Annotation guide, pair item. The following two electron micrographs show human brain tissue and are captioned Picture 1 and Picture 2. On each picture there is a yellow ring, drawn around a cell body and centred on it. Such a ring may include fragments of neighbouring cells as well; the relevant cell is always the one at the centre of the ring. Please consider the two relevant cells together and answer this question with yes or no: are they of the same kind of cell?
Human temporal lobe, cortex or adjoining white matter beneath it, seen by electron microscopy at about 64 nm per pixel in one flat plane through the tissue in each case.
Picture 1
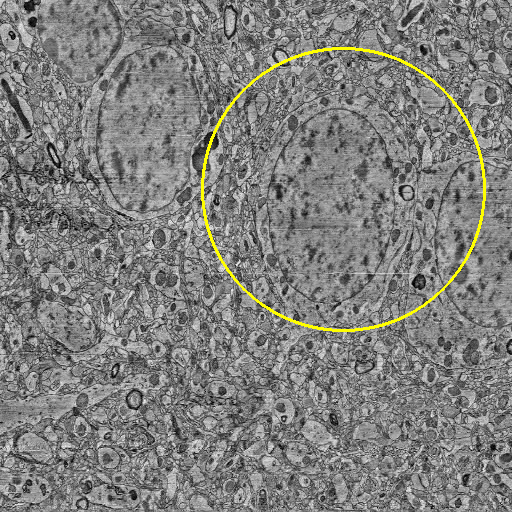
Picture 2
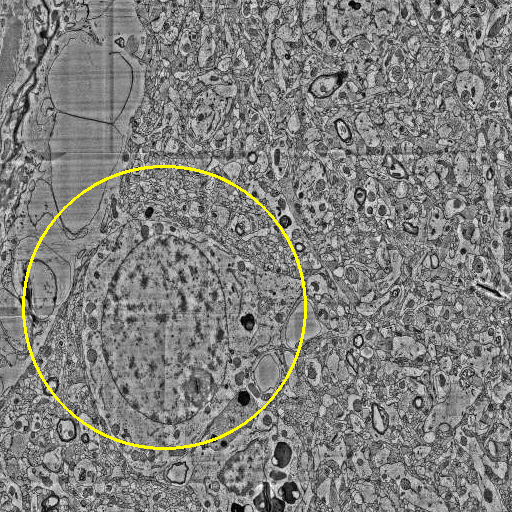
yes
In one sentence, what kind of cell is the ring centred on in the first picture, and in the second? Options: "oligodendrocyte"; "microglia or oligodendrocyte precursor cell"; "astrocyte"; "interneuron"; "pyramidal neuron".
In the first picture and in the second, the ring is centred on a pyramidal neuron.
